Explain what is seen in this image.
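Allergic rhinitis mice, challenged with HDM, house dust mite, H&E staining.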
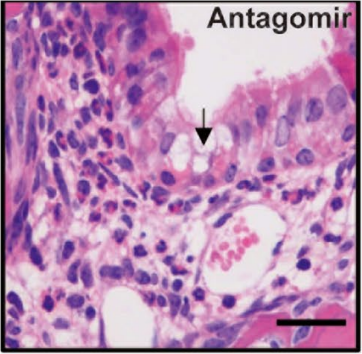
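A pink-stained columnar surface epithelium runs across the top, with a pale, clear cell set within it. Beneath it lies loose, pale connective tissue holding scattered cells with dark nuclei and a vessel filled with red blood cells. This is nasal mucosa whose epithelium contains a goblet cell, with an infiltrated, loose connective tissue layer below.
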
